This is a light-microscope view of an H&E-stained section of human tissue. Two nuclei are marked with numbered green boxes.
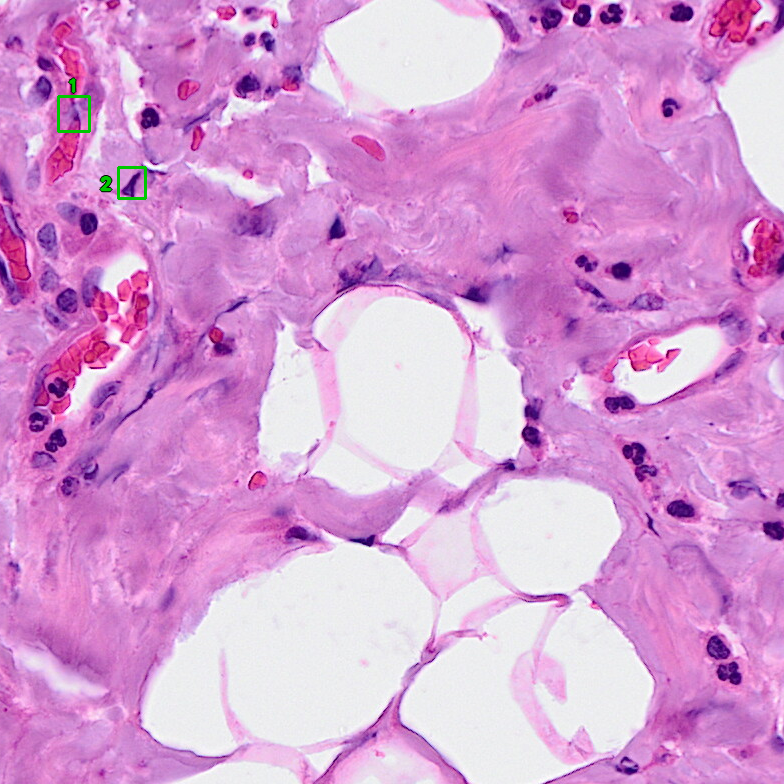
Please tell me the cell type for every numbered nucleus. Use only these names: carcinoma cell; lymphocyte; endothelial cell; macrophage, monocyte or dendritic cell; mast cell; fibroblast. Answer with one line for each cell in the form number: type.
1: endothelial cell
2: fibroblast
